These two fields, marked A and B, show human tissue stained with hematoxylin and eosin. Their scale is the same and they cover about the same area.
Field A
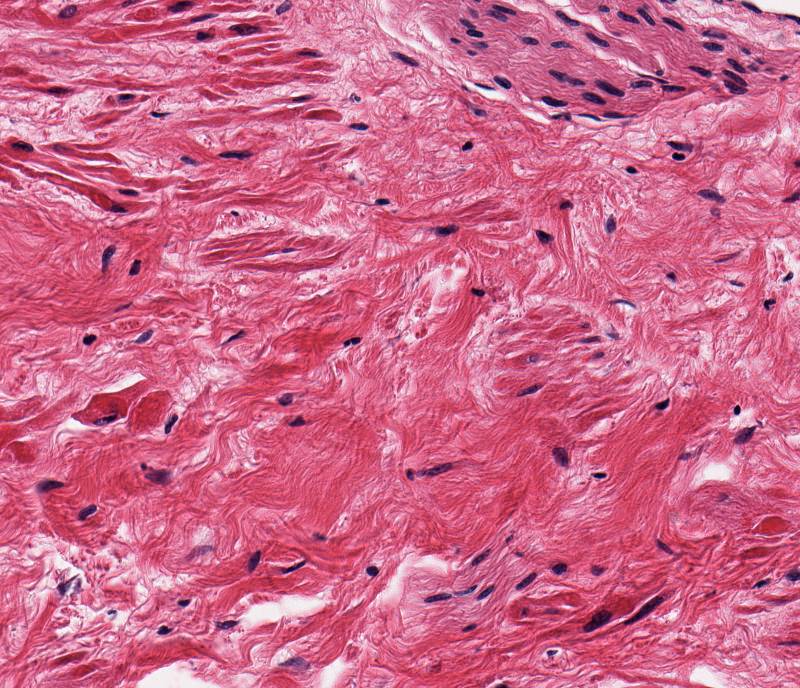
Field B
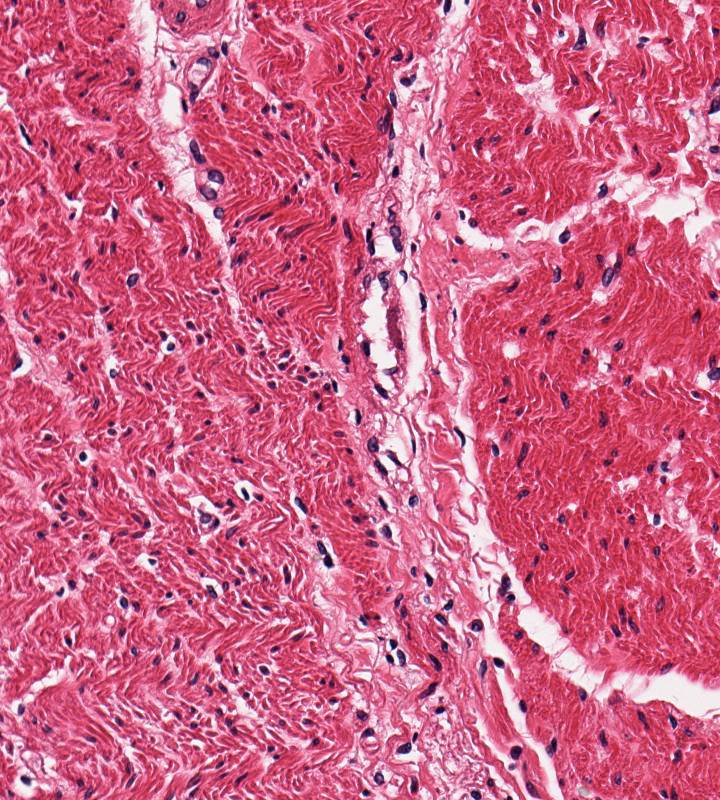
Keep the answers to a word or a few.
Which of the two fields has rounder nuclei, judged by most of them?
B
